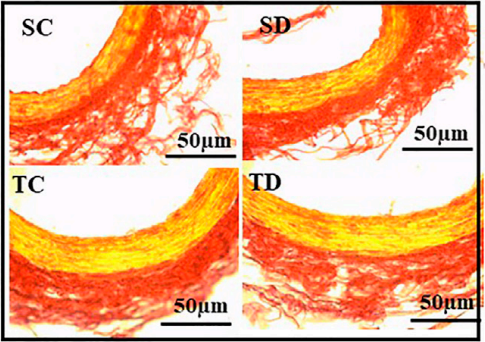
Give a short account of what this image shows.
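Four cross-sections of an artery wall, each showing a curved segment of the vessel. The inner part of the wall is a compact yellow band made of fine, parallel, slightly wavy lamellae, the layered smooth muscle of the media. Outside it lies a broader zone of red-stained fibres forming a loose, open, interlacing meshwork that frays into the surrounding space, the collagenous adventitia. The boundary between yellow and red zones is fairly sharp and follows the curve of the vessel. Individual nuclei are not resolved at this magnification; the picture shows the layered architecture of the wall.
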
